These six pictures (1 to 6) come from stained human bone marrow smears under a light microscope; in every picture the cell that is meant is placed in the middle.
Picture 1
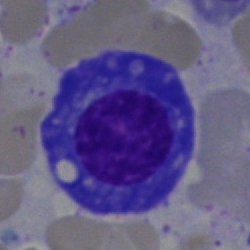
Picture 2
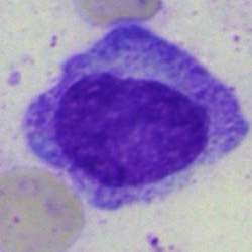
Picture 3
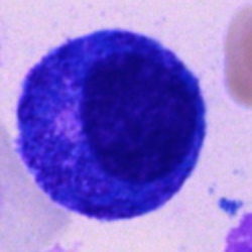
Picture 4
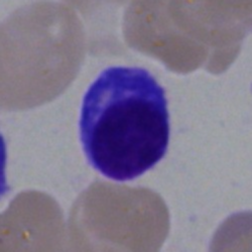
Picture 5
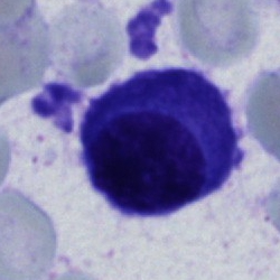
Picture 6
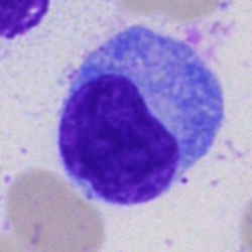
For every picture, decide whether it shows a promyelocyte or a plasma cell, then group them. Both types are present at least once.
1: plasma cell
2: promyelocyte
3: promyelocyte
4: plasma cell
5: plasma cell
6: plasma cell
